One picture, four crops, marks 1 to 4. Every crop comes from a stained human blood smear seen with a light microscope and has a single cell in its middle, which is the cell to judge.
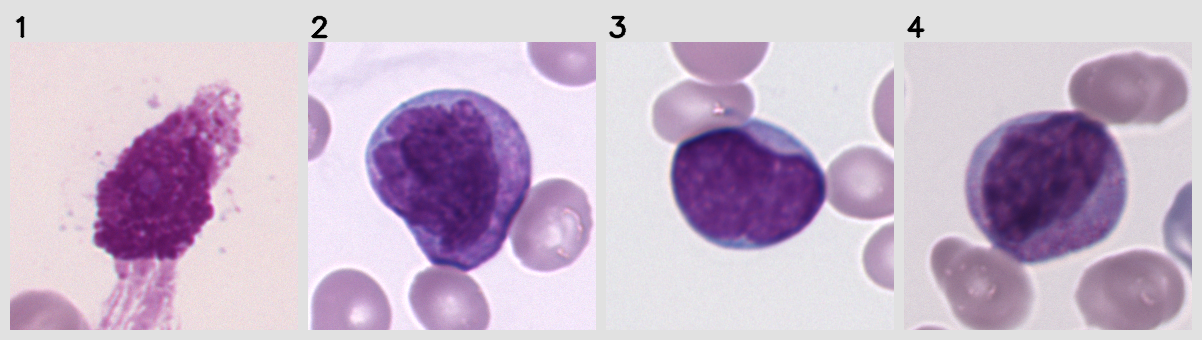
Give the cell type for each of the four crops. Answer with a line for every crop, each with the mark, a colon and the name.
1: smudge cell
2: atypical promyelocyte
3: myeloblast
4: atypical promyelocyte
